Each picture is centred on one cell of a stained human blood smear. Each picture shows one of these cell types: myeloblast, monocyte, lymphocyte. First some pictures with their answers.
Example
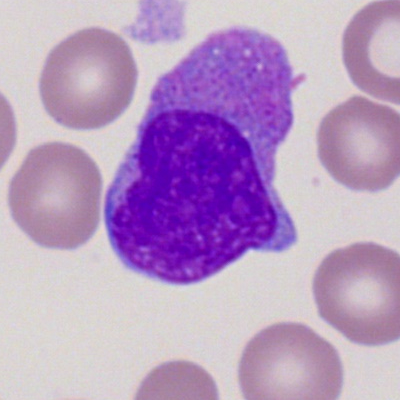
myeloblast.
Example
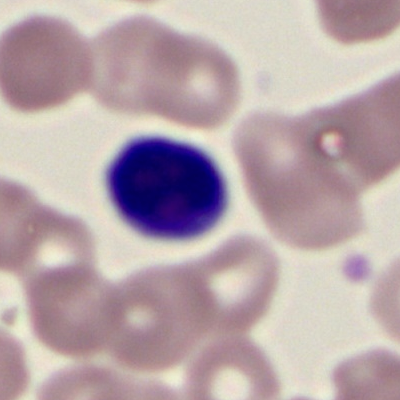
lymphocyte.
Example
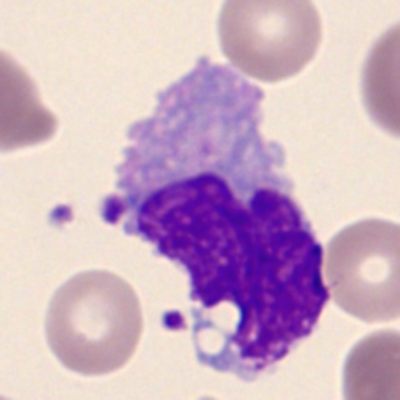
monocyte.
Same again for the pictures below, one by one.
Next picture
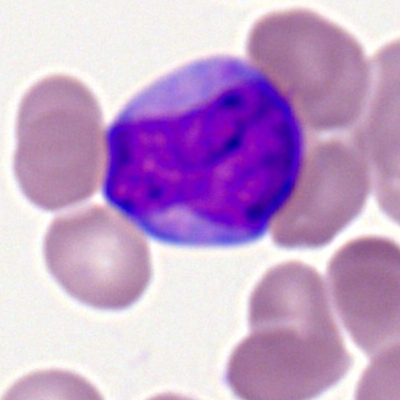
myeloblast.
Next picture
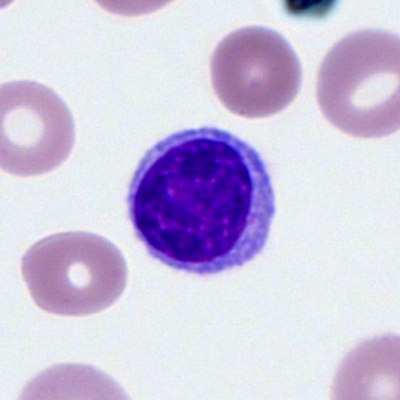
lymphocyte.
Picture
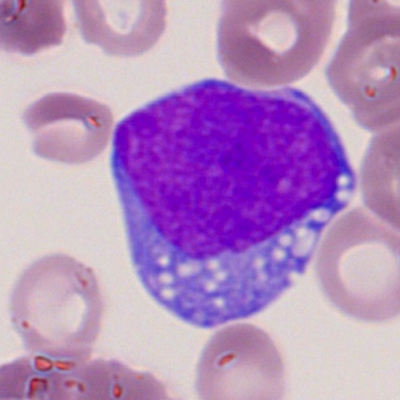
myeloblast.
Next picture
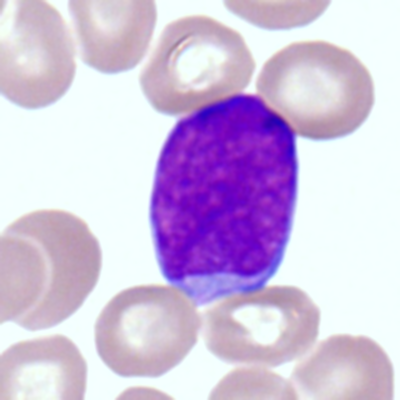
myeloblast.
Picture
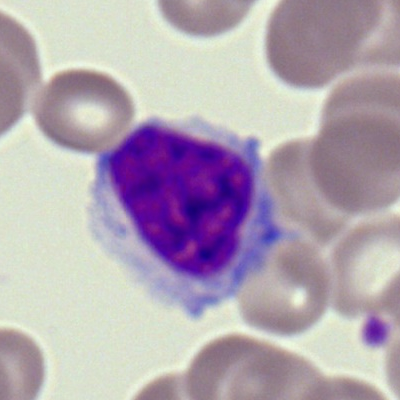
lymphocyte.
